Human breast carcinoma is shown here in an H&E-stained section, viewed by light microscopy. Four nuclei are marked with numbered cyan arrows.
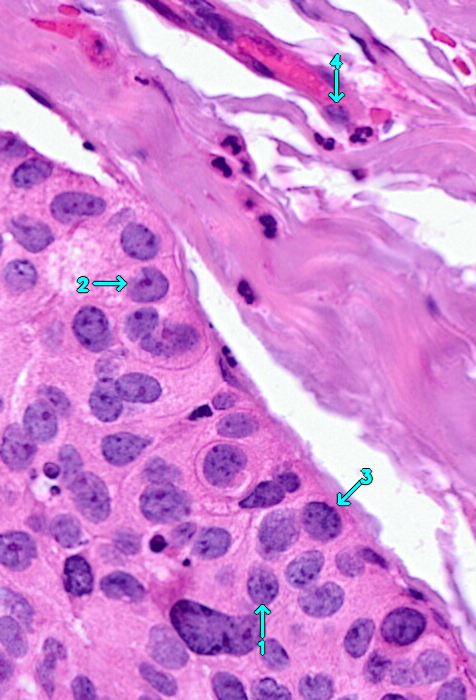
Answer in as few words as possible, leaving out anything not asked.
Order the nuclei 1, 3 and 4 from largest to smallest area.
3, 1, 4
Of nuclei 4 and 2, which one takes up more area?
2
